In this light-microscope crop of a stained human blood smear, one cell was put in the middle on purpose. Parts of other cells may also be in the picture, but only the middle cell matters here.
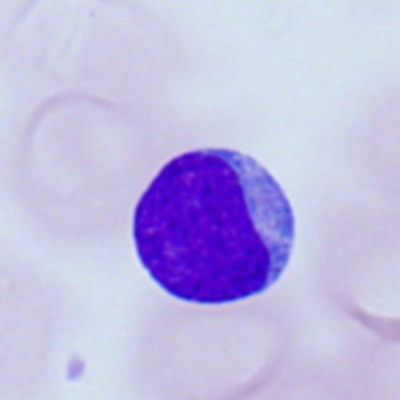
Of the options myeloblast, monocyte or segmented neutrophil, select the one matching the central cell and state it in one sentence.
Answering briefly, the cell in the middle is a myeloblast.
